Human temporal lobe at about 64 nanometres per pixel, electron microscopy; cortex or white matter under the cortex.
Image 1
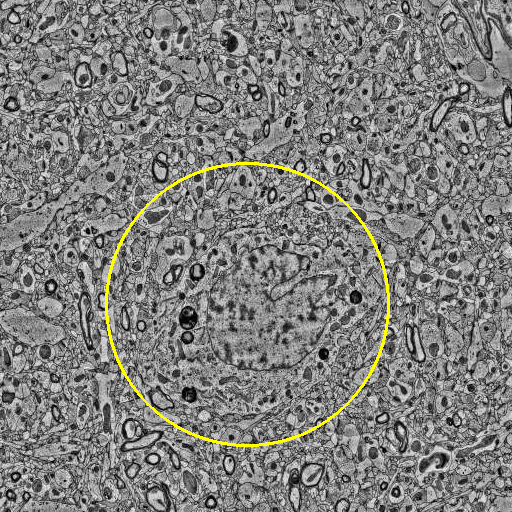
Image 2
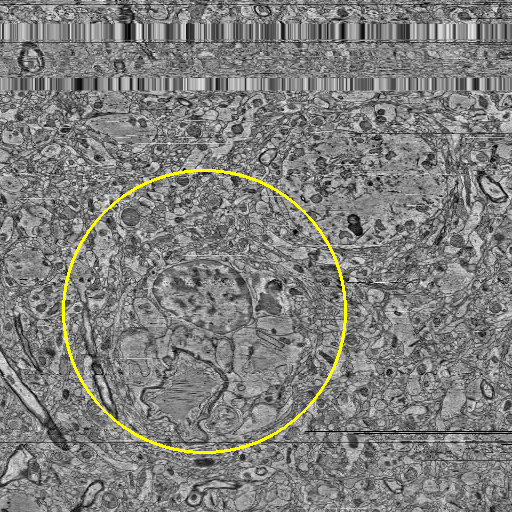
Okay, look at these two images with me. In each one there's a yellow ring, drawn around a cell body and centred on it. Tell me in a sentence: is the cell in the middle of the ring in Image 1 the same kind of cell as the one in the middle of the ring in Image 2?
No, they're two kinds of cell.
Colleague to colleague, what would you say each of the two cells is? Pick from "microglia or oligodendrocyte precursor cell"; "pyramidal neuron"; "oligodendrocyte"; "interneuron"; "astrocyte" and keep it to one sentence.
The cell in the first picture is an interneuron; the second picture's cell is a microglial cell or oligodendrocyte precursor cell.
